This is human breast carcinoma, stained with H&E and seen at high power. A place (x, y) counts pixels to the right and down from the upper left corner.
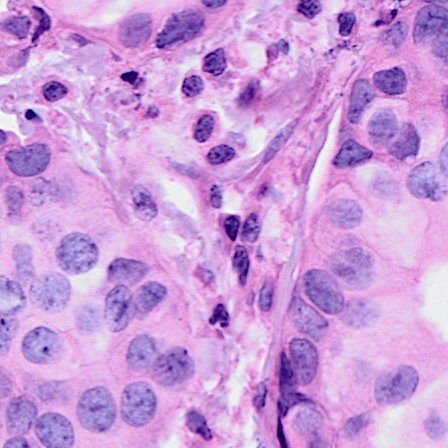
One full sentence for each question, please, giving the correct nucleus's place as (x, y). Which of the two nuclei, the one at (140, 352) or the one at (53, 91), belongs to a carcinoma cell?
The nucleus that belongs to a carcinoma cell sits at (140, 352).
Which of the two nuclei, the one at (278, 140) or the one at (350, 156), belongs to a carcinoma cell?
The nucleus contained in a carcinoma cell is the one at (350, 156).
